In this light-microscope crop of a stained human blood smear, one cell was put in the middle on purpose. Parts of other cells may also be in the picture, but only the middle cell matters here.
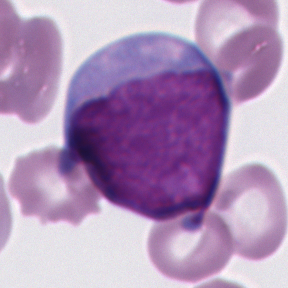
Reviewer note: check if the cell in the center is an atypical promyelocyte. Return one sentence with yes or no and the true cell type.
No, the central cell isn't an atypical promyelocyte, but a myeloblast.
